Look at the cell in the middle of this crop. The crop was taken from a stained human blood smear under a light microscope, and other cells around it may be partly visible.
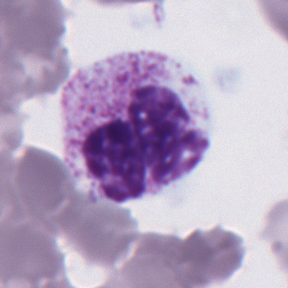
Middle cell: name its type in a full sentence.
The centrally placed cell is classified as a neutrophil.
